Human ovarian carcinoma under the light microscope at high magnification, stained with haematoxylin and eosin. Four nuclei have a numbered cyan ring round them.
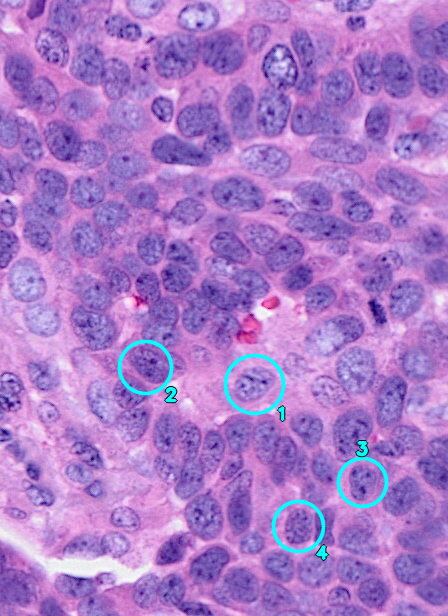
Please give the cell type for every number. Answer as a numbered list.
1. fibroblast
2. carcinoma cell
3. carcinoma cell
4. carcinoma cell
